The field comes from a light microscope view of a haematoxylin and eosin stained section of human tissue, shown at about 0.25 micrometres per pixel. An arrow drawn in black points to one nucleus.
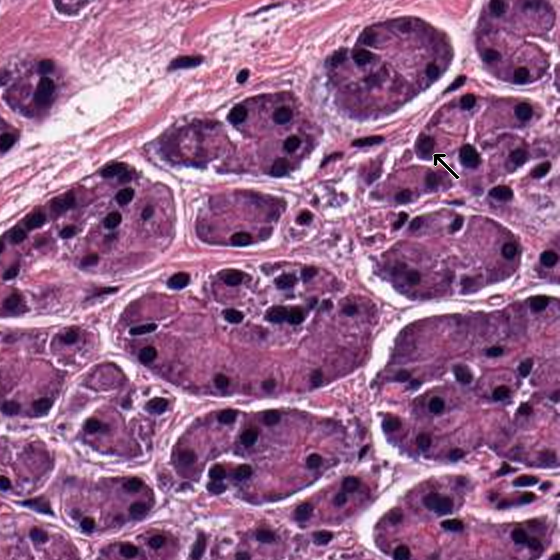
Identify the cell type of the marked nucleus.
pancreatic acinar cell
